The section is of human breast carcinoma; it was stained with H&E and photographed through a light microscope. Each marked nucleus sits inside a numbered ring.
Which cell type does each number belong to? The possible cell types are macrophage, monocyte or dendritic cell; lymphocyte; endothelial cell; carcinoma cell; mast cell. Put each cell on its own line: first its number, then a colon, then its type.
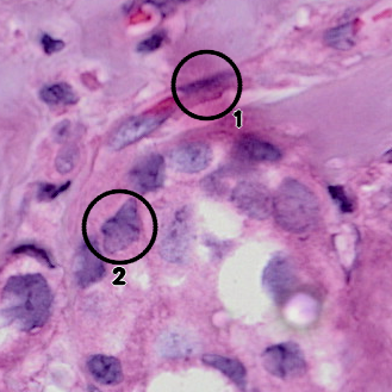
1: endothelial cell
2: carcinoma cell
